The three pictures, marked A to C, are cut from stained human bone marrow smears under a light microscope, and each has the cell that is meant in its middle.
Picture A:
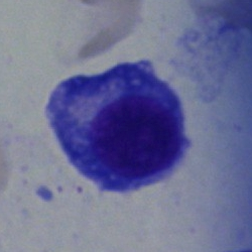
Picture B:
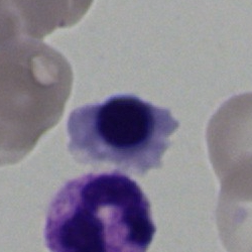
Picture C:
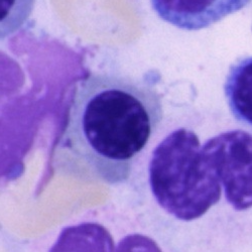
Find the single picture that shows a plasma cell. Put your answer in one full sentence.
The plasma cell is the one in picture A.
